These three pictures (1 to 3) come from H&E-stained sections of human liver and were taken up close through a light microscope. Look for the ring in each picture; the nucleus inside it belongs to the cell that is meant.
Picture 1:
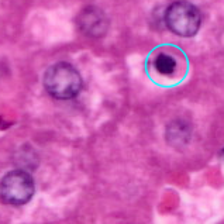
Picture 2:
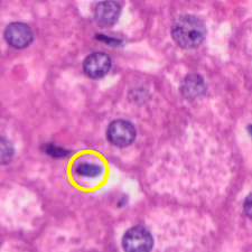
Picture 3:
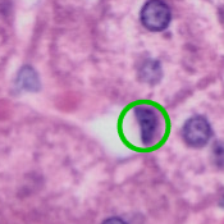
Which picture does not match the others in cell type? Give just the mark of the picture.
3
